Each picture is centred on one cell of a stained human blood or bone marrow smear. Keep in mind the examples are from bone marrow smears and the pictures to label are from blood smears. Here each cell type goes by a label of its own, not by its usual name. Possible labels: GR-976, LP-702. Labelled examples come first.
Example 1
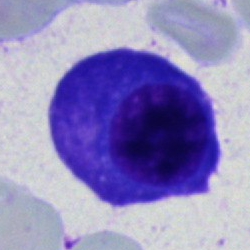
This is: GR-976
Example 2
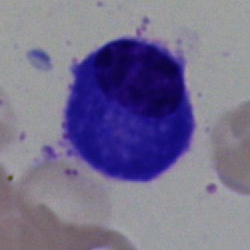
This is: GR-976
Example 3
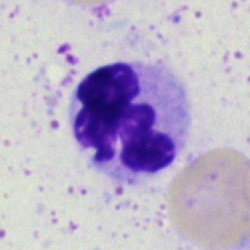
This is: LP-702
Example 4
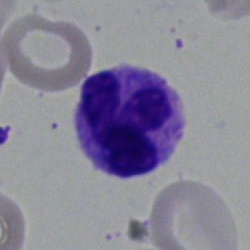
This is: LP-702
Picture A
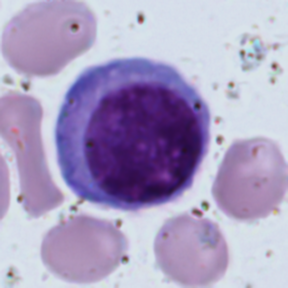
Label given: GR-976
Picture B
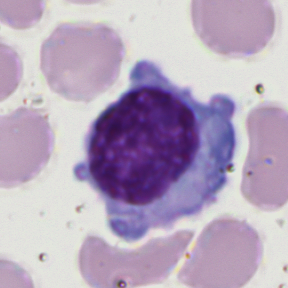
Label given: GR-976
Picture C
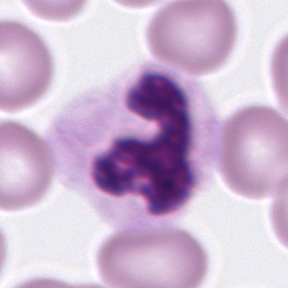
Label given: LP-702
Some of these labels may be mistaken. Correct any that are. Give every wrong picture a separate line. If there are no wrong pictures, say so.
None of the labels needs changing.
